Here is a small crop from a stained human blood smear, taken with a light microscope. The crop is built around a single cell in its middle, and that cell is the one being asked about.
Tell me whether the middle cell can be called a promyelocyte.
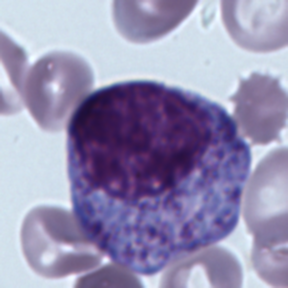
no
